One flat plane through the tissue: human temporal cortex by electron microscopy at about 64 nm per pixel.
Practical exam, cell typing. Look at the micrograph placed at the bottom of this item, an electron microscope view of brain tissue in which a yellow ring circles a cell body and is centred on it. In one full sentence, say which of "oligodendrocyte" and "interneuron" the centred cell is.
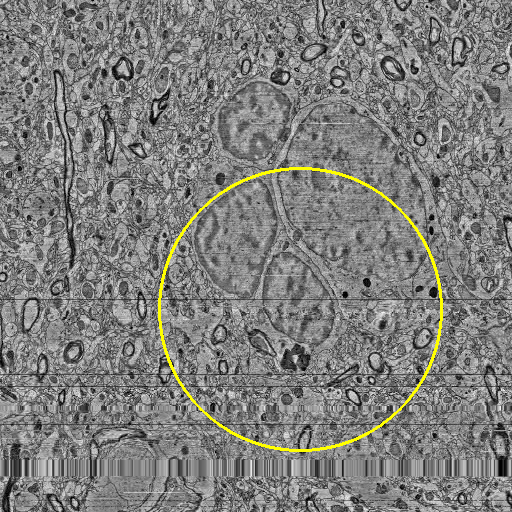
Given the options, an oligodendrocyte fits the cell whose body the yellow ring is centred on.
